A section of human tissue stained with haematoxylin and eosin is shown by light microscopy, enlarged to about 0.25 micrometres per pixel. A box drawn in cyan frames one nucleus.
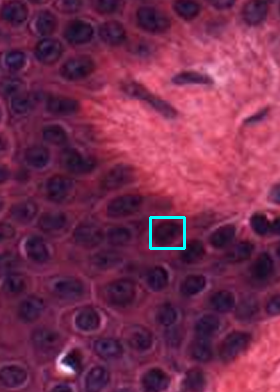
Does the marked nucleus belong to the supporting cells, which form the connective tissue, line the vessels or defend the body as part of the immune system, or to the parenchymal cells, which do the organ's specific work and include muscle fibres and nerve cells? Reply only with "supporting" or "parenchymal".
parenchymal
